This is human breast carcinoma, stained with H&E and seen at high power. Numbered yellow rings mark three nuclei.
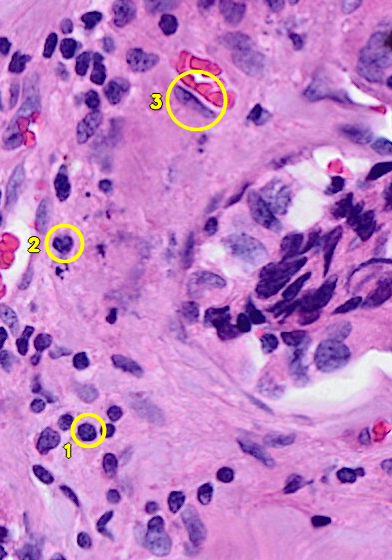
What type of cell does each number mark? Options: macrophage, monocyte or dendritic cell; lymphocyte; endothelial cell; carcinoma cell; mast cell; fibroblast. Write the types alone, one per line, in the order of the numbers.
lymphocyte
lymphocyte
endothelial cell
